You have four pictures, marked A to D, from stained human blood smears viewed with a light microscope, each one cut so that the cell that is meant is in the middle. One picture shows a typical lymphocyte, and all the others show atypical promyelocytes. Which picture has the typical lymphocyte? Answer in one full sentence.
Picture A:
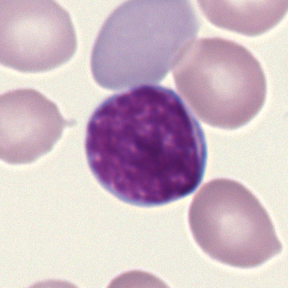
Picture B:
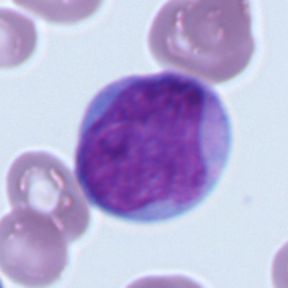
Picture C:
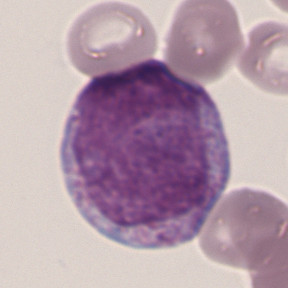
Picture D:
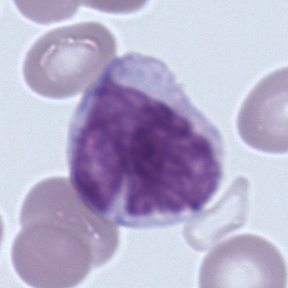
It is picture A that shows the typical lymphocyte.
